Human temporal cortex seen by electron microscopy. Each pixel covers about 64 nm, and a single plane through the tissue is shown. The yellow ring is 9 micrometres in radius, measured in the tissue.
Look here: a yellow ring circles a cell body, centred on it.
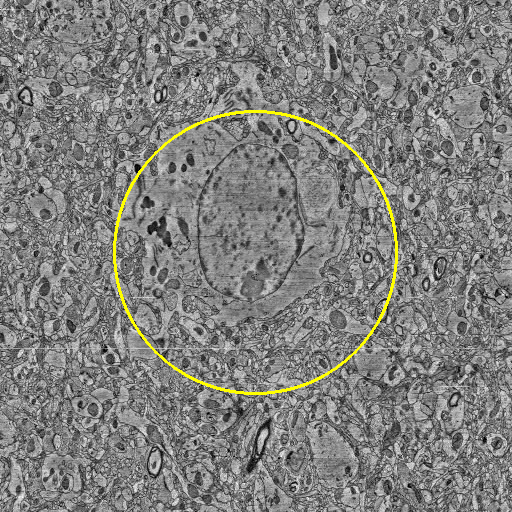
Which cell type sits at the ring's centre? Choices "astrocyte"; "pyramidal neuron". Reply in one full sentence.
The cell at the centre of the yellow ring in the picture is an astrocyte.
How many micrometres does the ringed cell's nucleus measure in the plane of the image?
Roughly 10 micrometres long and 7 micrometres wide; in this plane the nucleus is clearly longer than it is wide.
